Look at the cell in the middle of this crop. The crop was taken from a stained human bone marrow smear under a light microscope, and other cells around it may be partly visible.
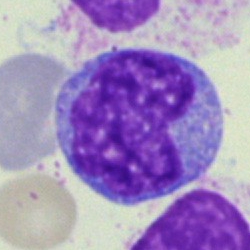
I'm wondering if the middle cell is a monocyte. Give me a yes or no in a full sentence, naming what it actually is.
Yes, in the middle of the crop is a monocyte.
